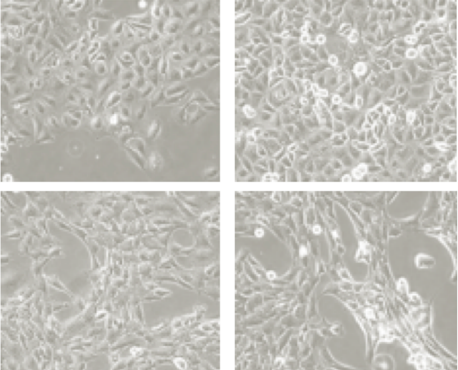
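In the upper pair of images the cells are polygonal to short spindle-shaped and pack closely into a dense, cobblestone-like sheet. In the lower pair the cells are more elongated and spindle-shaped with thin processes, and they form a looser network with open, cell-free gaps between them. In the right-hand images of both rows, scattered small round cells appear with bright, refractile halos; these stand out against the flat, spread cells around them. The left-hand images show few such rounded cells.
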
